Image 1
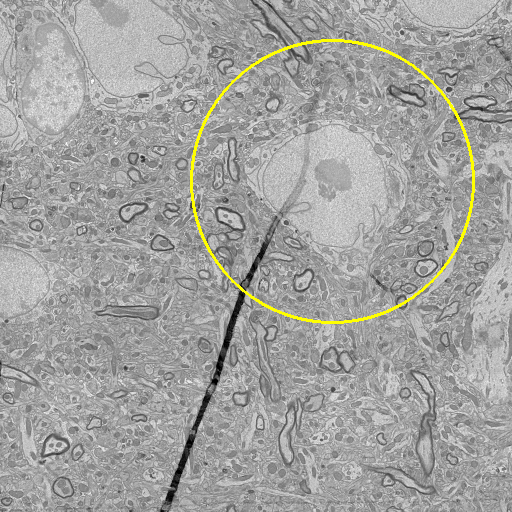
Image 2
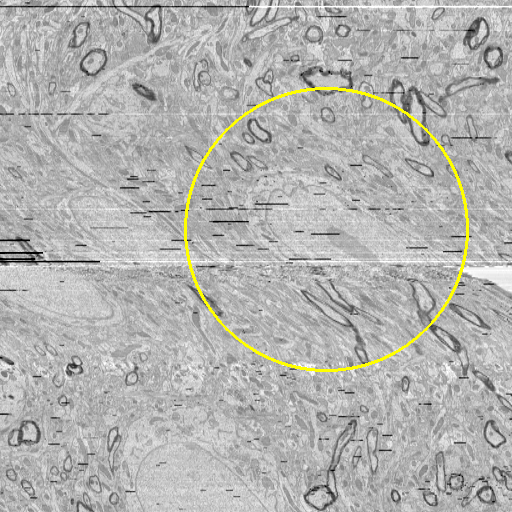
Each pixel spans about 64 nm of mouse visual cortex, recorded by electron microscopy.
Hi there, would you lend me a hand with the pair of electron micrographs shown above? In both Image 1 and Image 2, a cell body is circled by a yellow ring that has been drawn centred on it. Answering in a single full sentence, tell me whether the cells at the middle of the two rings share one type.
Yes, the ringed cells in Image 1 and Image 2 share one type.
